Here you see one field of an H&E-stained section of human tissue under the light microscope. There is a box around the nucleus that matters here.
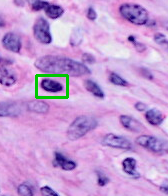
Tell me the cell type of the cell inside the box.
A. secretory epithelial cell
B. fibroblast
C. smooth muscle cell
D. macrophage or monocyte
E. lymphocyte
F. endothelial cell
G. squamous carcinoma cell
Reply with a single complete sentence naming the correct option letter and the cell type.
Option E is the right one; the cell inside the box is a lymphocyte.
